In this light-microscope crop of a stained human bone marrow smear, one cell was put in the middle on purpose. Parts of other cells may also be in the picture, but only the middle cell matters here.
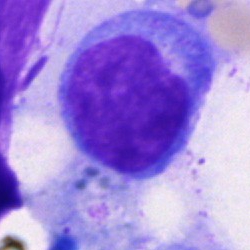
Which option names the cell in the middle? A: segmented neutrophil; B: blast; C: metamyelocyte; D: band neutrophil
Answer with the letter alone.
B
